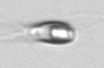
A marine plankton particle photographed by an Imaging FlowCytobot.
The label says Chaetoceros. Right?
Wrong: this is Chrysochromulina parkeae.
